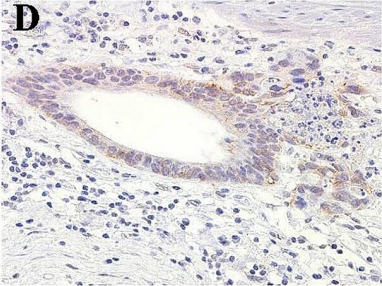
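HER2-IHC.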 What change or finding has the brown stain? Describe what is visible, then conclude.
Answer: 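Weak membrane staining. A gland of tumour cells shows only faint pale brown at its cell borders. Nuclei remain blue and unstained.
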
